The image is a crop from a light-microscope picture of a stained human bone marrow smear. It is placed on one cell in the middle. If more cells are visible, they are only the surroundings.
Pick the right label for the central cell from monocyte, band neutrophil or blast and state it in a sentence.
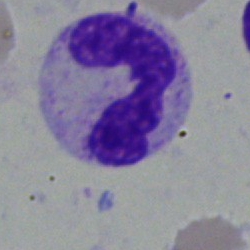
The cell at the heart of this crop is a band neutrophil.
